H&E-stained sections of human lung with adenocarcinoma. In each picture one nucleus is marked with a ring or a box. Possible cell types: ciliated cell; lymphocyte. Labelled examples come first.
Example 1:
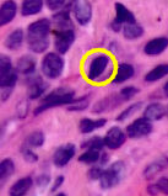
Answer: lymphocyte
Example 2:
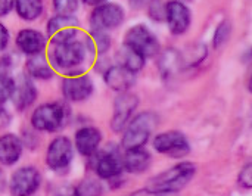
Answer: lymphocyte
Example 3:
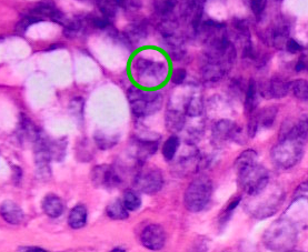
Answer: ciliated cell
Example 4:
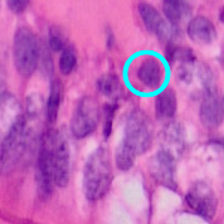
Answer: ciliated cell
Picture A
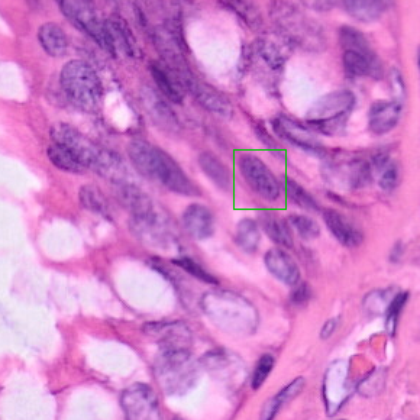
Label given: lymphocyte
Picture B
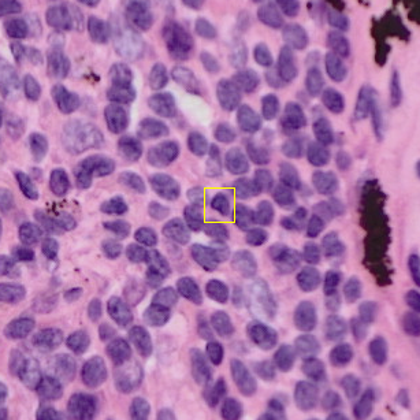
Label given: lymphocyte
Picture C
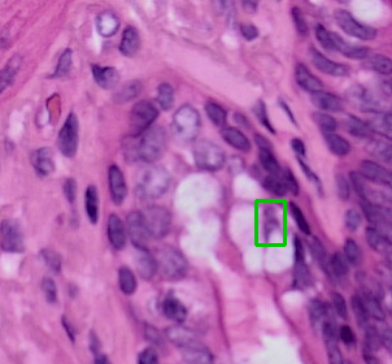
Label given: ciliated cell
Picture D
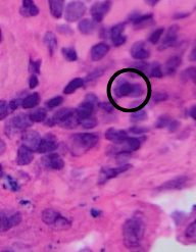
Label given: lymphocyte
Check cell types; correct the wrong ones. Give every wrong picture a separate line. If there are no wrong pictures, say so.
A is labelled lymphocyte; correct label: ciliated cell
